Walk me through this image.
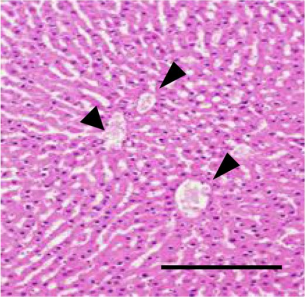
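Liver tissue stained with hematoxylin and eosin shows hepatocytes arranged in pink cords separated by narrow sinusoidal spaces, with small round dark nuclei. Several small round vessel lumens lie among the cords. These lumens contain pale, finely textured material that fills them instead of leaving them open.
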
